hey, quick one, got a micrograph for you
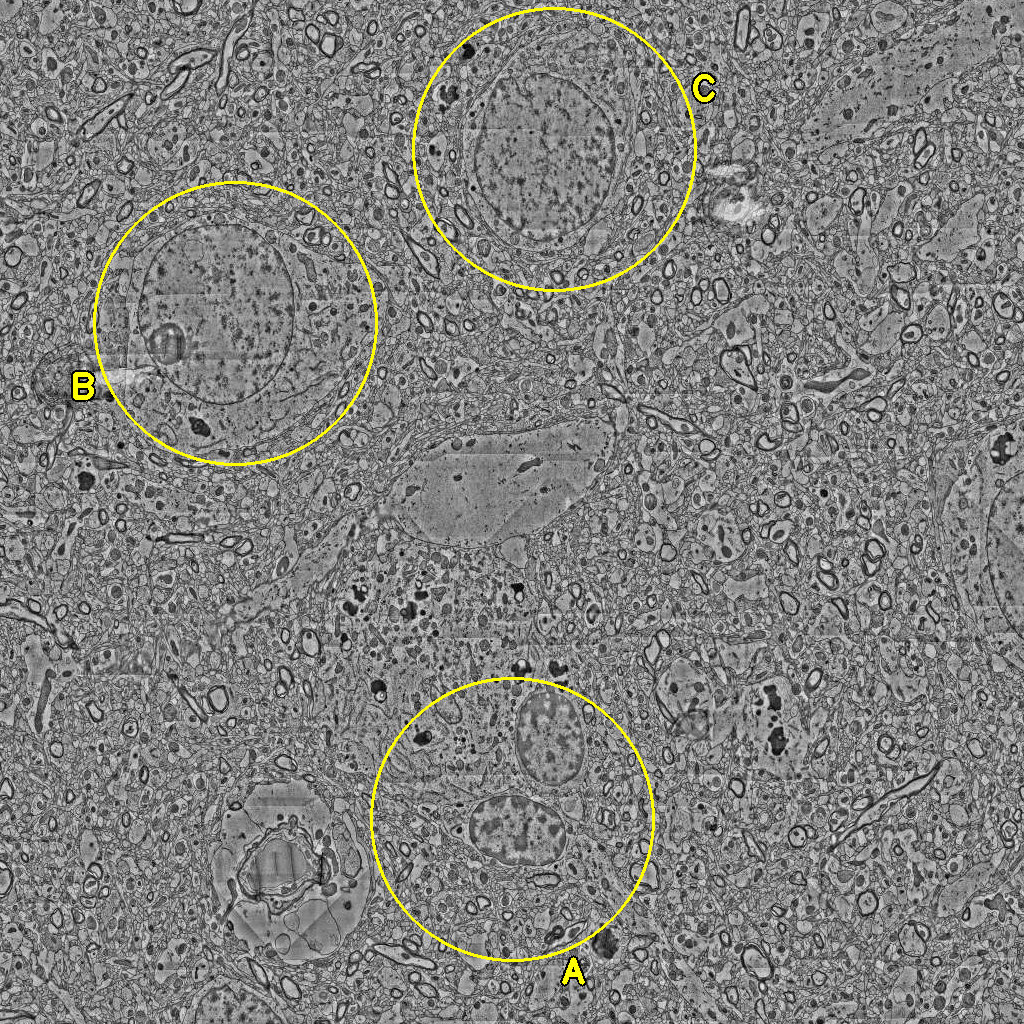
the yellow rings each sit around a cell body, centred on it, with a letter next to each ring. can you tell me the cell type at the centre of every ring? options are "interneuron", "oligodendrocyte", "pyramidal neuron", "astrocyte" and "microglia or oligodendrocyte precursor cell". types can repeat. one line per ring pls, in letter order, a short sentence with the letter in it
Ring A goes around a microglial cell or oligodendrocyte precursor cell.
Ring B goes around a pyramidal neuron.
Ring C goes around an interneuron.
